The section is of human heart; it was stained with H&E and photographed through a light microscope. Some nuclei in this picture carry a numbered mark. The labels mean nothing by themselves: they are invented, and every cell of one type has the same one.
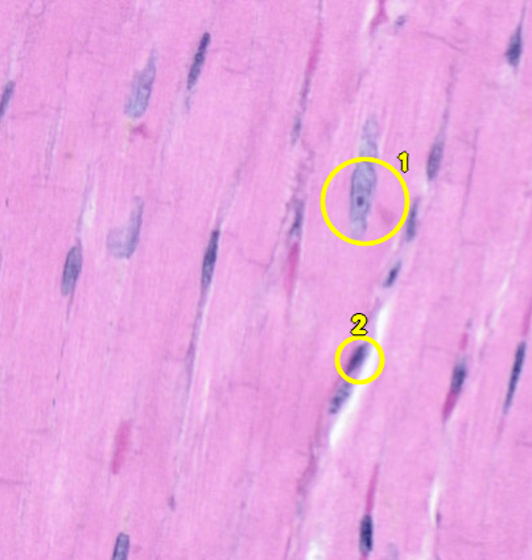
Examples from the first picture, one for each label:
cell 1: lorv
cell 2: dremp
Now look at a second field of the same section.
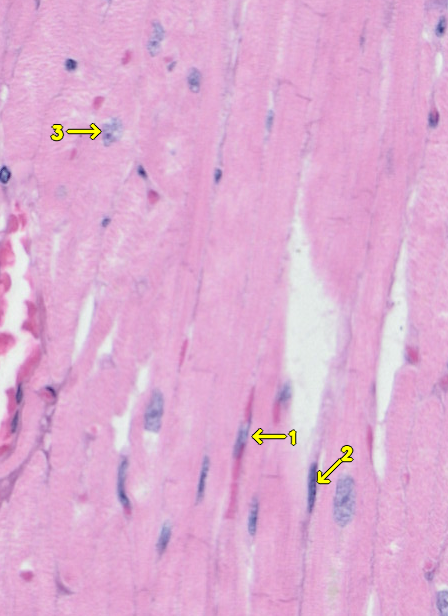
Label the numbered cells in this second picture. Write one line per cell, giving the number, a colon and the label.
1: dremp
2: dremp
3: lorv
